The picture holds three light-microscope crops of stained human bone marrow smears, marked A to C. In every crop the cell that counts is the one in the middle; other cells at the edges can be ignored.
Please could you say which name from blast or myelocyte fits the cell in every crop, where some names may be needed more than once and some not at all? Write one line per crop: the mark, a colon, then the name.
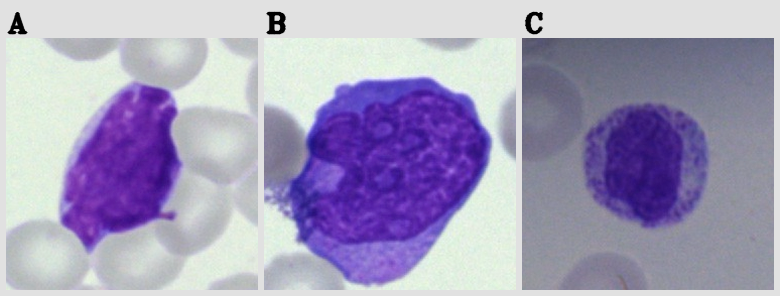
A: blast
B: blast
C: myelocyte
